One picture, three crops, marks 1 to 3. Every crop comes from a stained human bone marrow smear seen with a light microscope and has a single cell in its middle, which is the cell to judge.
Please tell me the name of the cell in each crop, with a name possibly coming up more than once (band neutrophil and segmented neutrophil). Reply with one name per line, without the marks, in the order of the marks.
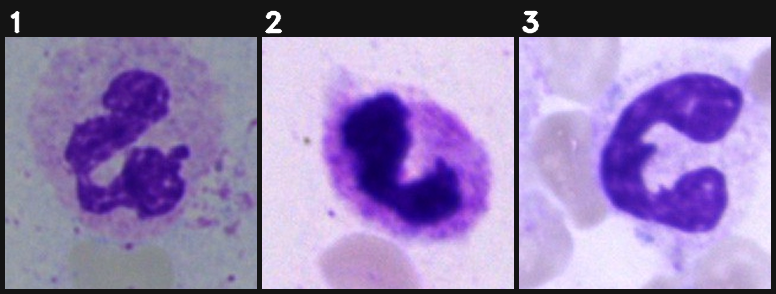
segmented neutrophil
segmented neutrophil
band neutrophil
